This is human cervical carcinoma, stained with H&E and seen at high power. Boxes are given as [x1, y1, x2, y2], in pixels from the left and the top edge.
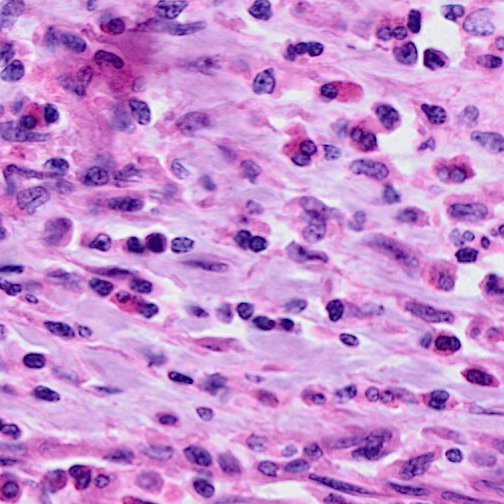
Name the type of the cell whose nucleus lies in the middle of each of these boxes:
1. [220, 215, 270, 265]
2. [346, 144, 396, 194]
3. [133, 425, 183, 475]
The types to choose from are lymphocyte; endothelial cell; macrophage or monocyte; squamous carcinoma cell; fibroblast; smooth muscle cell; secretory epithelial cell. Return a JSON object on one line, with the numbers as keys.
{"1": "lymphocyte", "2": "macrophage or monocyte", "3": "endothelial cell"}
